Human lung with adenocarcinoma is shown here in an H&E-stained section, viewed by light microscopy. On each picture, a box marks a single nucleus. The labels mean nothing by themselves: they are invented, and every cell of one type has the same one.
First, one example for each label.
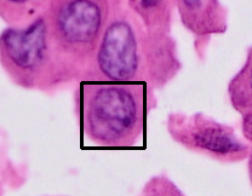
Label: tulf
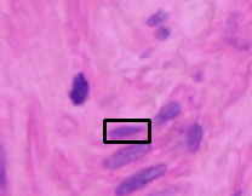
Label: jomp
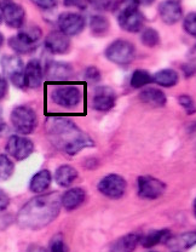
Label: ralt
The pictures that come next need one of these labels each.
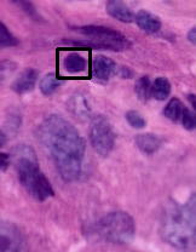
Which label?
ralt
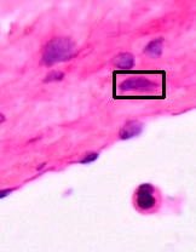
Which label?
jomp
